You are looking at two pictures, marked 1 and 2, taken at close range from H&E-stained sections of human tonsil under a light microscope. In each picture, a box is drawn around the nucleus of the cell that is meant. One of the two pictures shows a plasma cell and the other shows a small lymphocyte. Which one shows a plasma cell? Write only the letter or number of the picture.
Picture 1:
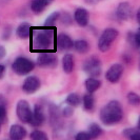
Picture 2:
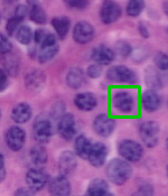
2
